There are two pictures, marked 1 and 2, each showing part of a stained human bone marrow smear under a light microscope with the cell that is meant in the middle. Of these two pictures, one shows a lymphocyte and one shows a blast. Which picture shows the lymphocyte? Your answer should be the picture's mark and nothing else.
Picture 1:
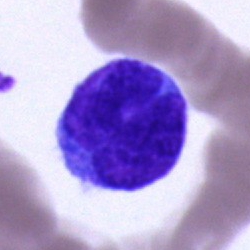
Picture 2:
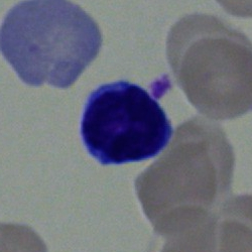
2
